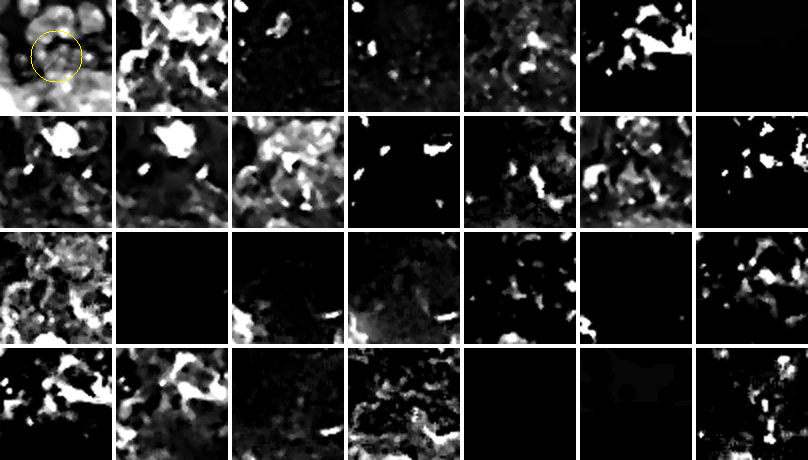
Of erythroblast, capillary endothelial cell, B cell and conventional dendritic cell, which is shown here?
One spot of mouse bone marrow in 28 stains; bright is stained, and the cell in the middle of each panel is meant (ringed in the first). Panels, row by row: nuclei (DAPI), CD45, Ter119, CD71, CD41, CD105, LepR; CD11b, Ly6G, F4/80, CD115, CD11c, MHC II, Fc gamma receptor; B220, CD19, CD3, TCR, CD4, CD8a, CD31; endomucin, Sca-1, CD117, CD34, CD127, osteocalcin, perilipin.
capillary endothelial cell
